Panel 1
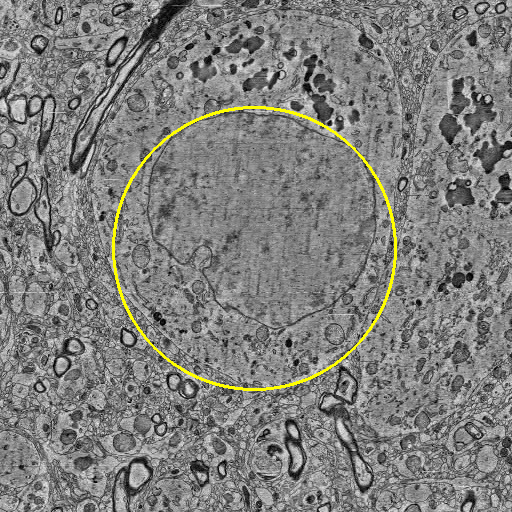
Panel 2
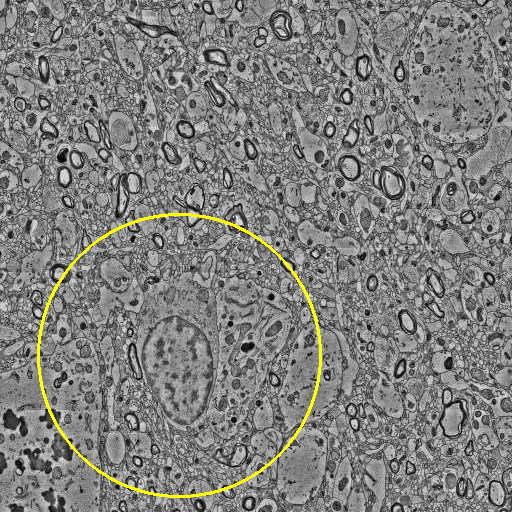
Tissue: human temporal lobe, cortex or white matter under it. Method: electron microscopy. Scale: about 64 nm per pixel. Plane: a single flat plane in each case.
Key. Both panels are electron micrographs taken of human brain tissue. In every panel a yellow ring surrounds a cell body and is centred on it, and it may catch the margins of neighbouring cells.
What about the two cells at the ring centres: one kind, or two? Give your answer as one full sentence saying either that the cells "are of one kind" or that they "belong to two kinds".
Across Panels 1 and 2, the two cells at the ring centres belong to two kinds.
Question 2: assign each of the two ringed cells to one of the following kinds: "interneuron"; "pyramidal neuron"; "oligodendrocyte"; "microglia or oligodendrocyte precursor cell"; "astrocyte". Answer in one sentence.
The two cells are a pyramidal neuron in the first picture and an oligodendrocyte in the second.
